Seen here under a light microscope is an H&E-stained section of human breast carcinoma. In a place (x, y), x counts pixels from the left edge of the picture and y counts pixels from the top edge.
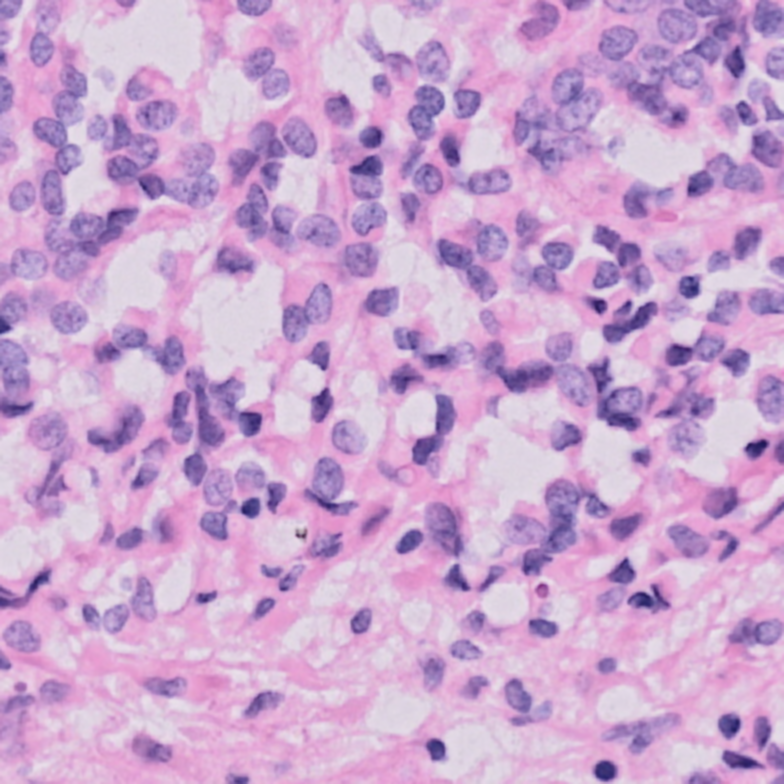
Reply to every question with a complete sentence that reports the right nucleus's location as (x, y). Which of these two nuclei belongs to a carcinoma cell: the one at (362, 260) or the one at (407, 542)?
The nucleus lying at (362, 260) is the nucleus of a carcinoma cell.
